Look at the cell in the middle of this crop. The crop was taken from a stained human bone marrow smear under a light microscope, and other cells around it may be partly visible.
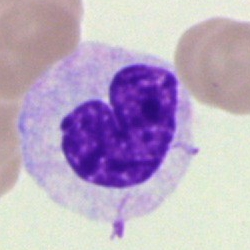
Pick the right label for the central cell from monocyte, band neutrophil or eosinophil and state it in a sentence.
The crop centres on a single cell, and that cell is a band neutrophil.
